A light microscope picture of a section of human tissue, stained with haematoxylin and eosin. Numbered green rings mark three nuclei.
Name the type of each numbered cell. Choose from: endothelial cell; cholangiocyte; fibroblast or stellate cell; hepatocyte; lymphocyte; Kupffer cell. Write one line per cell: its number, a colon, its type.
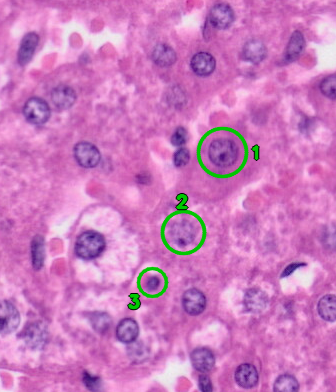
1: hepatocyte
2: hepatocyte
3: lymphocyte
